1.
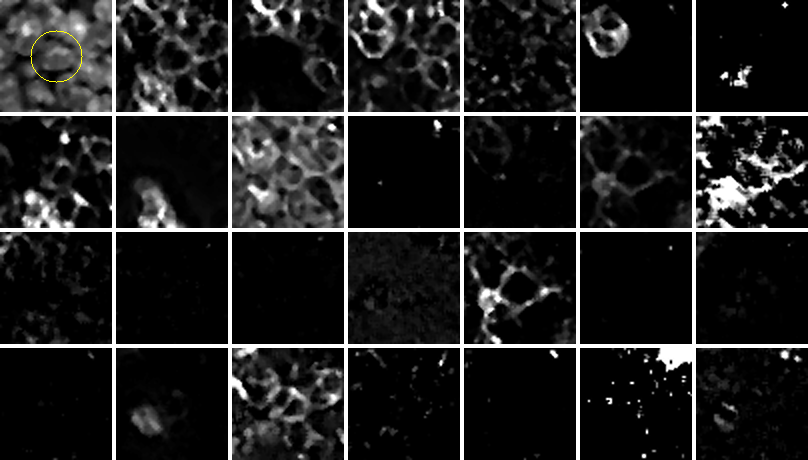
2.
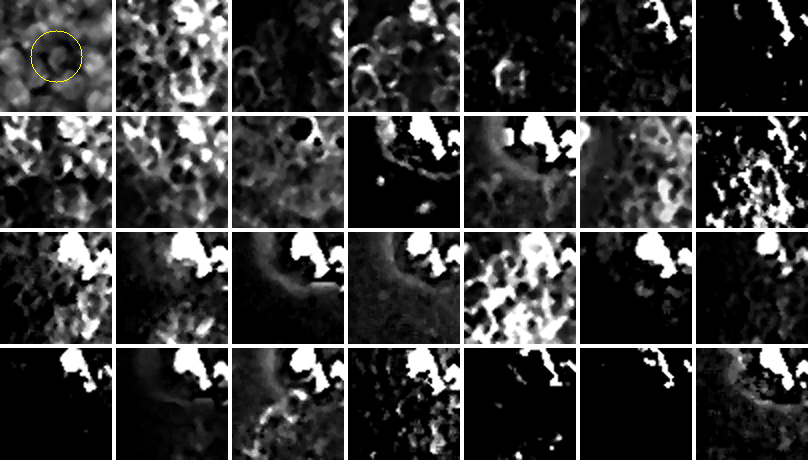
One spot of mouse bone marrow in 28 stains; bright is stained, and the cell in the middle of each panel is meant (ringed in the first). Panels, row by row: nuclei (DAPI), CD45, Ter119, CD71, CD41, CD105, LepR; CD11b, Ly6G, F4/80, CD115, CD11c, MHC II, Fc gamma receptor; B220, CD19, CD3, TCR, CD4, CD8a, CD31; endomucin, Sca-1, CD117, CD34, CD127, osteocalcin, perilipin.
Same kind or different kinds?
Same: erythroid progenitors (CFU-E).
